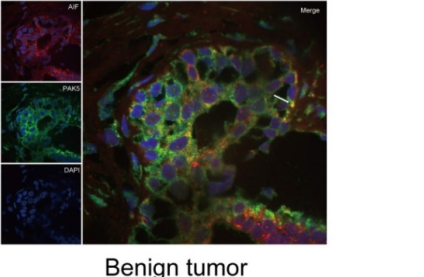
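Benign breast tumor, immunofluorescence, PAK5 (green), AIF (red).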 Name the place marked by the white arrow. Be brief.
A: Cytoplasm.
